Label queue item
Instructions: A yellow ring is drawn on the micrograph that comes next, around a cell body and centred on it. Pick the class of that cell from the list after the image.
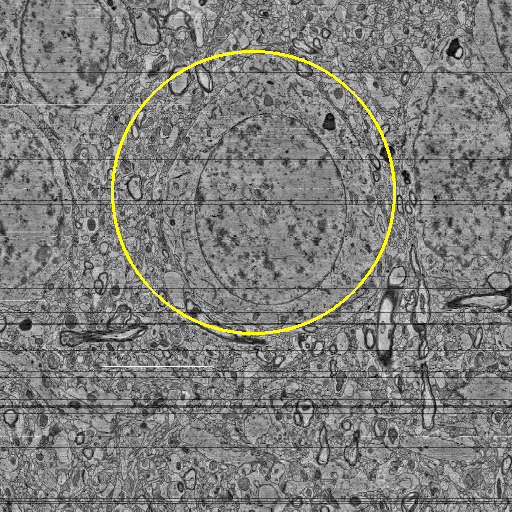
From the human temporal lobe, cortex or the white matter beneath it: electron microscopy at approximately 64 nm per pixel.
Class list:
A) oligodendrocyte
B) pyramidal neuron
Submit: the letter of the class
B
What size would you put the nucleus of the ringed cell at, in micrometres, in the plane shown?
The nucleus works out at approximately 13 by 10 micrometres in this plane.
